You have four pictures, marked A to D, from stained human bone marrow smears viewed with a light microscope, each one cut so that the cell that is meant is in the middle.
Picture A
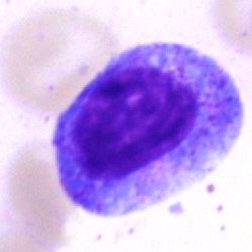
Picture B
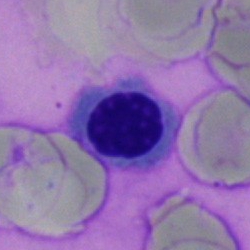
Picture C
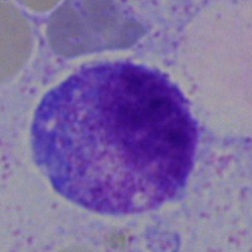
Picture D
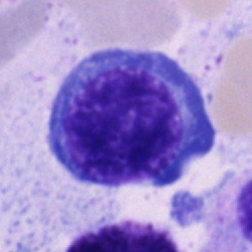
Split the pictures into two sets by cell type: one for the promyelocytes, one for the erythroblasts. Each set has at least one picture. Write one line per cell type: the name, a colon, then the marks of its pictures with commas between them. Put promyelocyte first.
promyelocyte: A, C
erythroblast: B, D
